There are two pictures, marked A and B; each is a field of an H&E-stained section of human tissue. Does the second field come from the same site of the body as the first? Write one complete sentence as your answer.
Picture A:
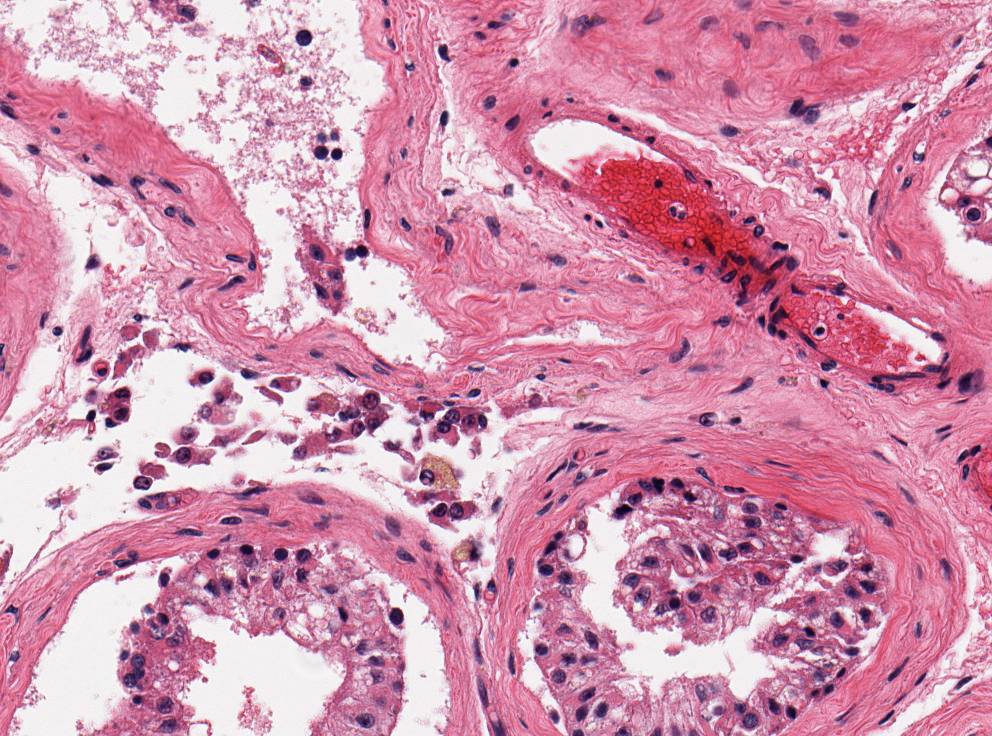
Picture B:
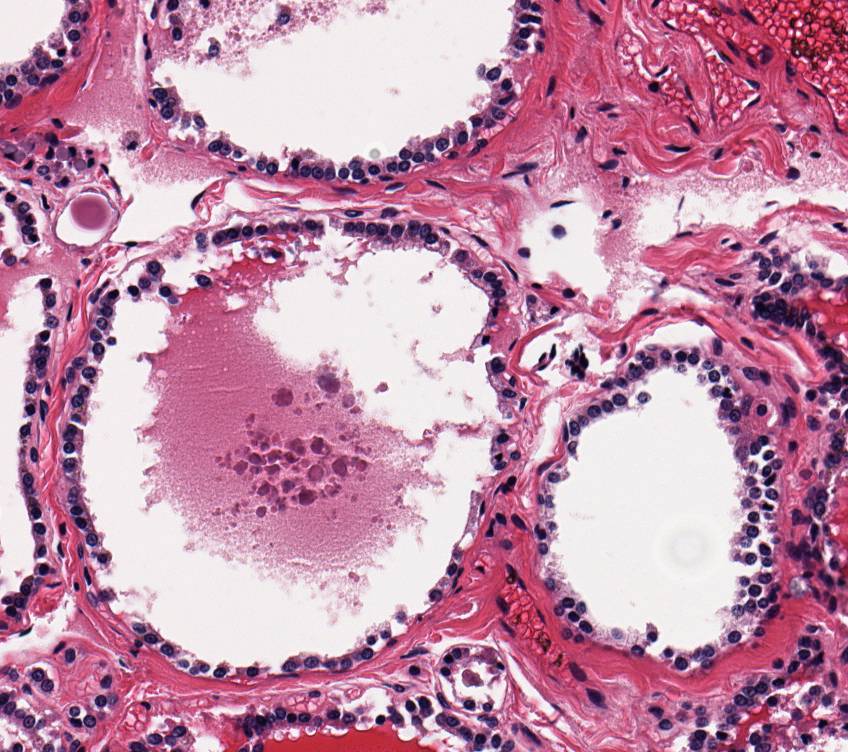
No. Picture A comes from the testis, whereas picture B comes from the thyroid.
